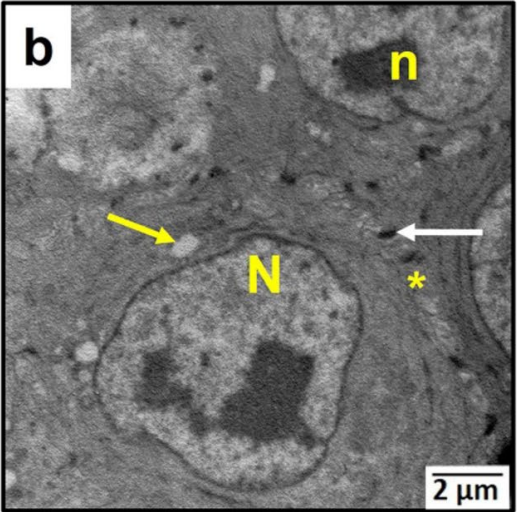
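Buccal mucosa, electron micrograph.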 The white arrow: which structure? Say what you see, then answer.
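Small dark dense plaque at the border between cells. So: desmosomes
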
